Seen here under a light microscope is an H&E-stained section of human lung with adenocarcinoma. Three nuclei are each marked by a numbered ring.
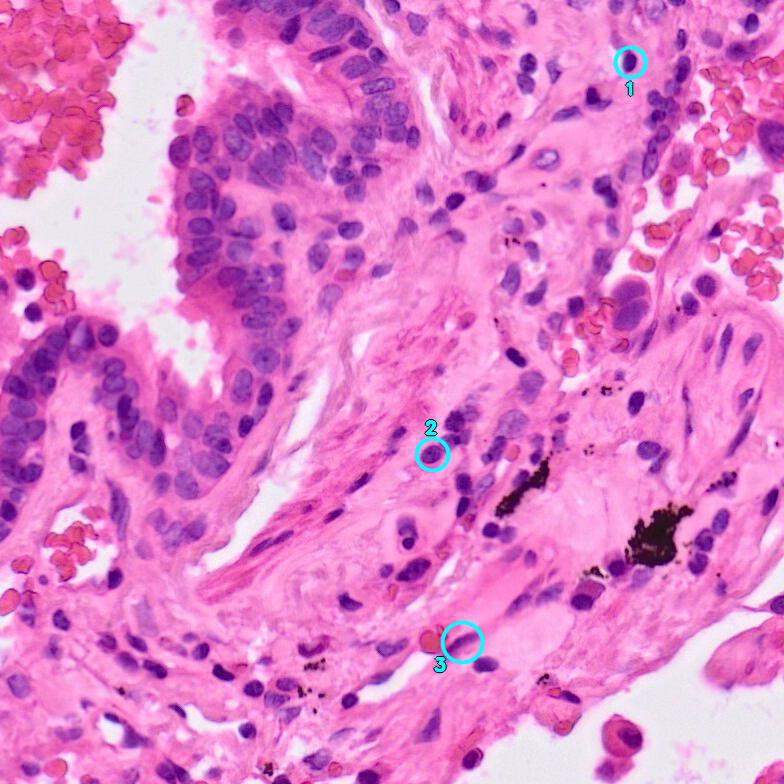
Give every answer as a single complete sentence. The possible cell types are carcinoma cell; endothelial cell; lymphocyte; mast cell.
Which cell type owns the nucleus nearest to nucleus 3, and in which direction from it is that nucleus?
The nearest nucleus is that of a lymphocyte and lies below and to the right of nucleus 3.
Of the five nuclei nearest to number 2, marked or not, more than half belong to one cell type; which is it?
Lymphocytes account for more than half of the five nuclei nearest to number 2.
